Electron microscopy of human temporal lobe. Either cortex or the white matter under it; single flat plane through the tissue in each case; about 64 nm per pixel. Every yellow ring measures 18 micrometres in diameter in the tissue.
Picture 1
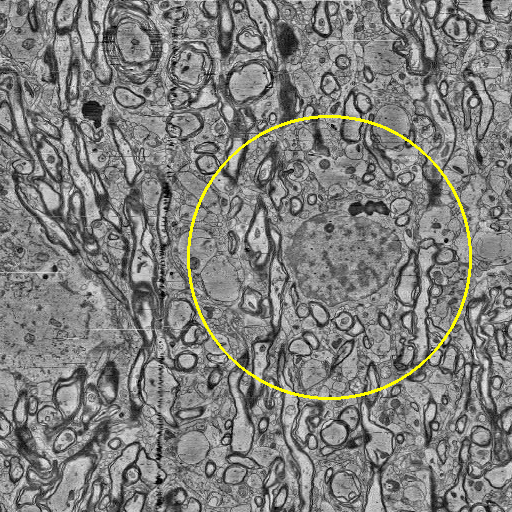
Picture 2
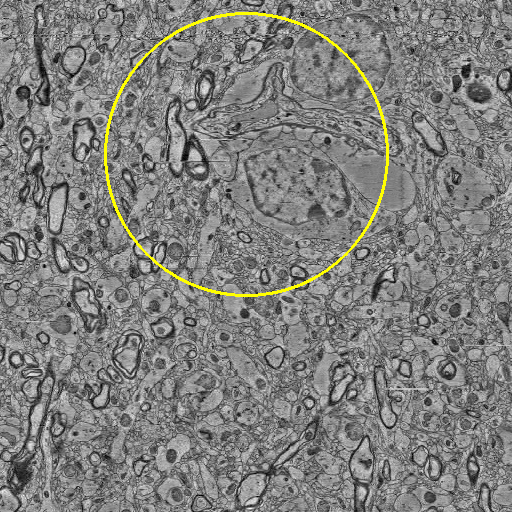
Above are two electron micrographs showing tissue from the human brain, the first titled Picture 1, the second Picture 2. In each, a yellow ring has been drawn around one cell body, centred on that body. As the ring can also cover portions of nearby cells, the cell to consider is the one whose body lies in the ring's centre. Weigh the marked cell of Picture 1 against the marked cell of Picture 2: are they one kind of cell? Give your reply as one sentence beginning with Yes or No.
No, the two cells sitting at the ring centres in the pictures are of two kinds.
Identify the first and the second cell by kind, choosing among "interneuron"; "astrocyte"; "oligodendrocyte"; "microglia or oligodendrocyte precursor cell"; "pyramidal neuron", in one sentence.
The one in the first picture is an oligodendrocyte, while the one in the second is a microglial cell or oligodendrocyte precursor cell.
